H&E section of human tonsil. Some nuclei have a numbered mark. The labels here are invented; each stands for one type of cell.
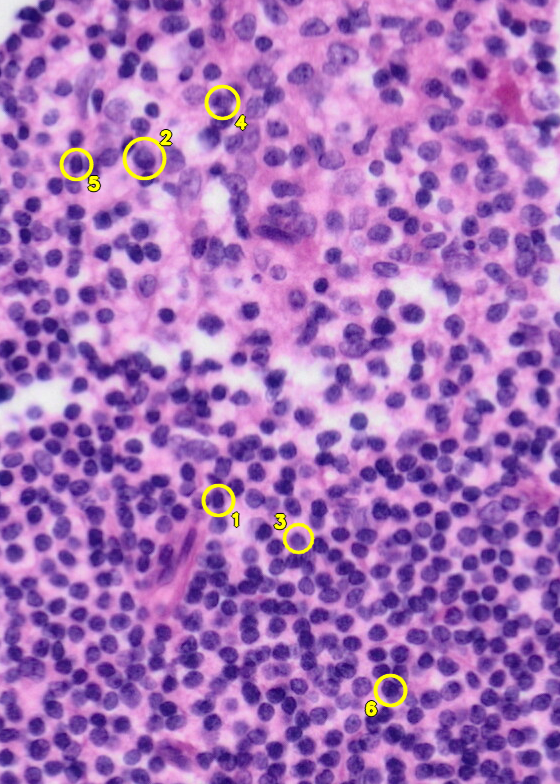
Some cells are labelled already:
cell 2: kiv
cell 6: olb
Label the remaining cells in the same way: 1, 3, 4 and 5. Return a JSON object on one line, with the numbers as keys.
{"1": "olb", "3": "olb", "4": "kiv", "5": "olb"}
